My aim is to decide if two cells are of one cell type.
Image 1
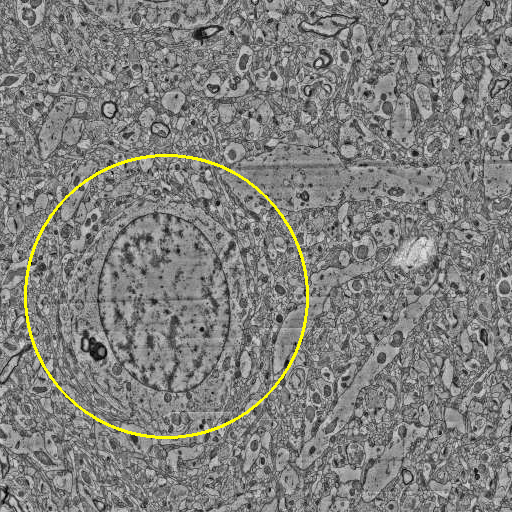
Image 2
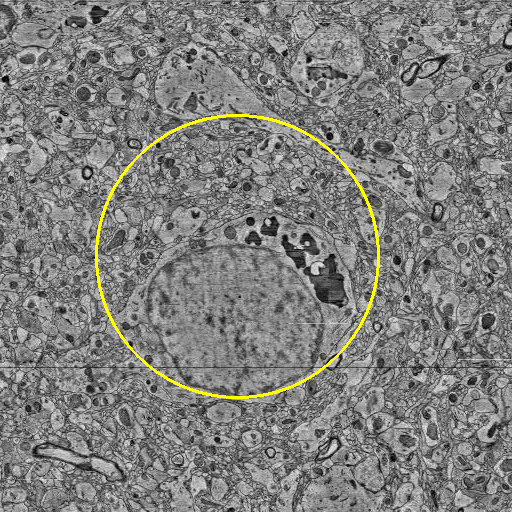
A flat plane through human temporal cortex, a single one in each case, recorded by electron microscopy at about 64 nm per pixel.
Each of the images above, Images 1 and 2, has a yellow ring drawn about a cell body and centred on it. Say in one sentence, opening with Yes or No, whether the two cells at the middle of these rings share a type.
No, in Images 1 and 2 the cells at the middle of the rings fall into two types.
